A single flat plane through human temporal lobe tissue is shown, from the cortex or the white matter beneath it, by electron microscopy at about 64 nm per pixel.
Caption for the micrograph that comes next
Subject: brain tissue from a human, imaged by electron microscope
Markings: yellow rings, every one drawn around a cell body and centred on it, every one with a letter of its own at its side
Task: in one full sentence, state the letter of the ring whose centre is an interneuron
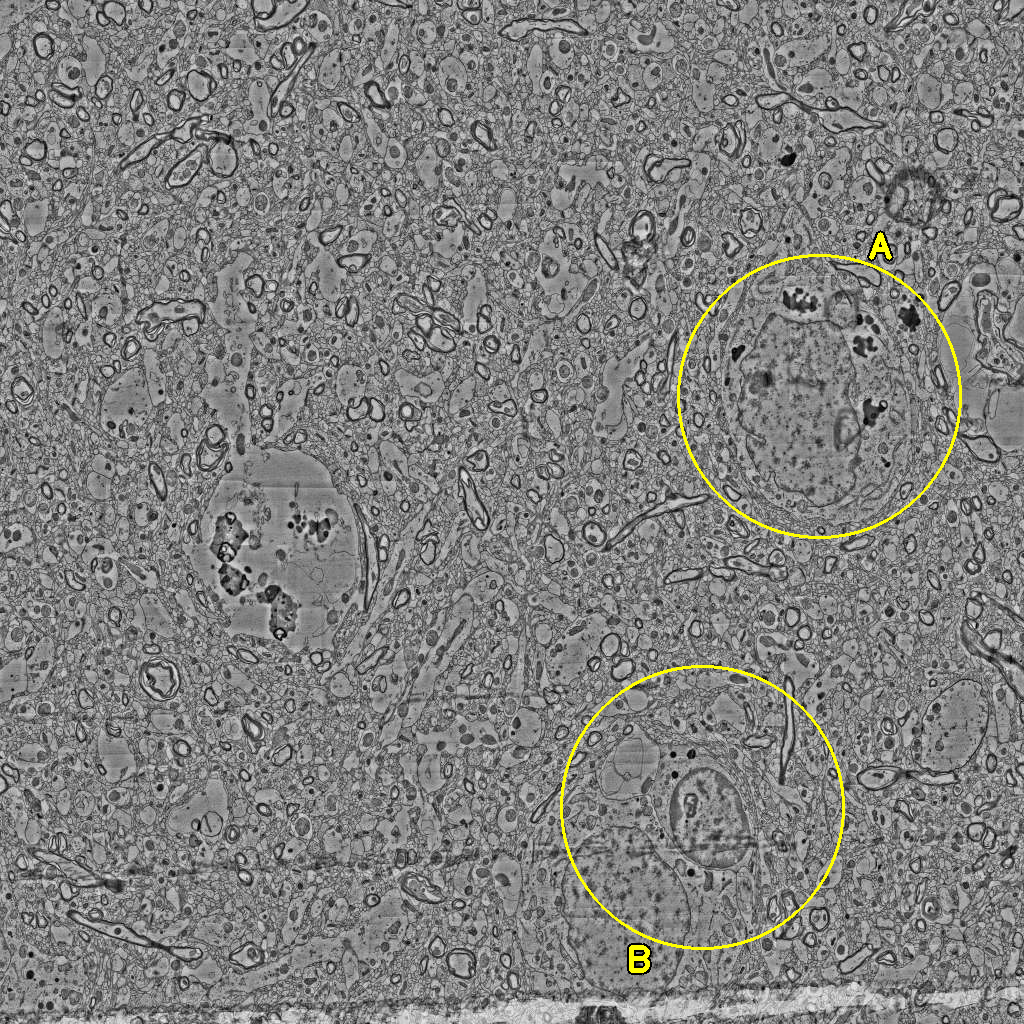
The ring centred on the cell asked for in this micrograph carries the letter A.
